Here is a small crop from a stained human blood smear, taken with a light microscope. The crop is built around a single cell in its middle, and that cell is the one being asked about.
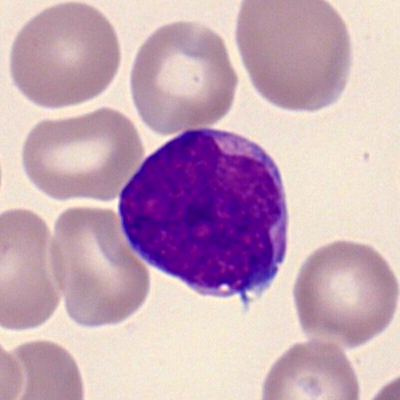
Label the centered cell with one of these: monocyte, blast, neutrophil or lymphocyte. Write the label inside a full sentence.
For this crop, the central cell is a blast.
